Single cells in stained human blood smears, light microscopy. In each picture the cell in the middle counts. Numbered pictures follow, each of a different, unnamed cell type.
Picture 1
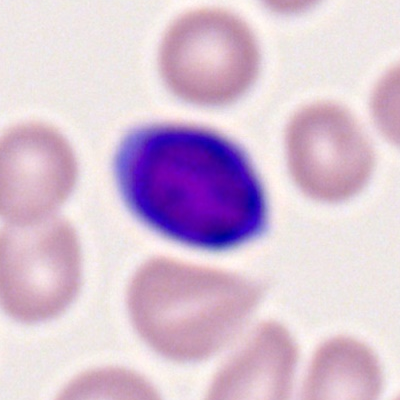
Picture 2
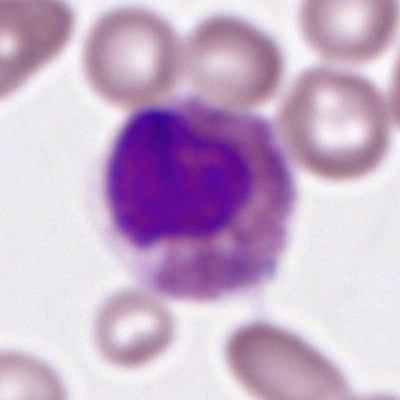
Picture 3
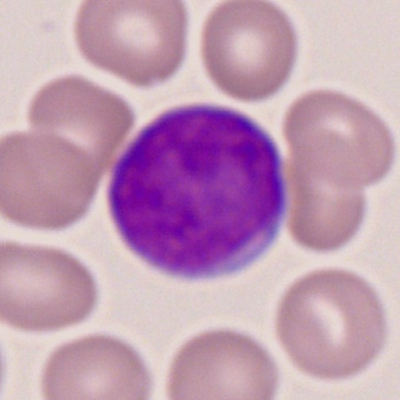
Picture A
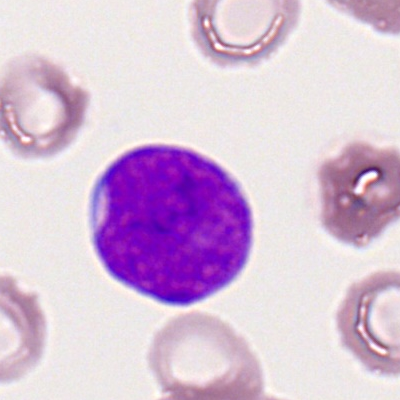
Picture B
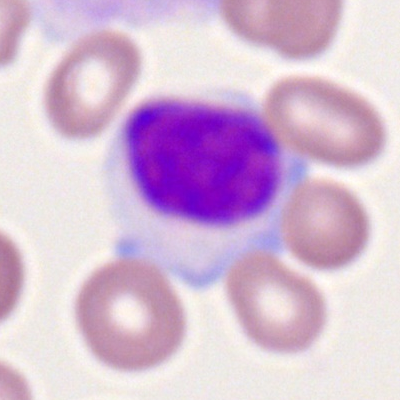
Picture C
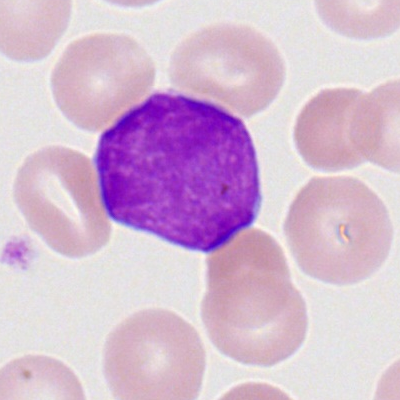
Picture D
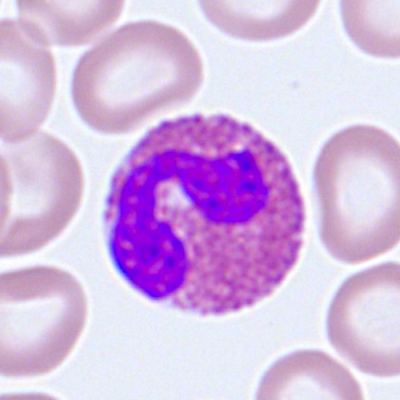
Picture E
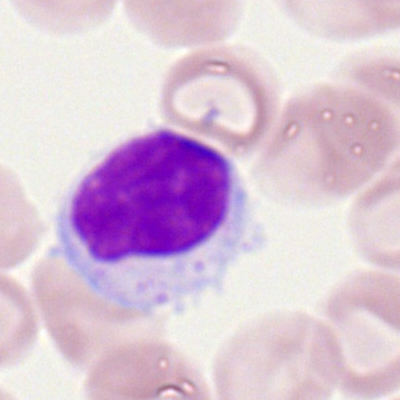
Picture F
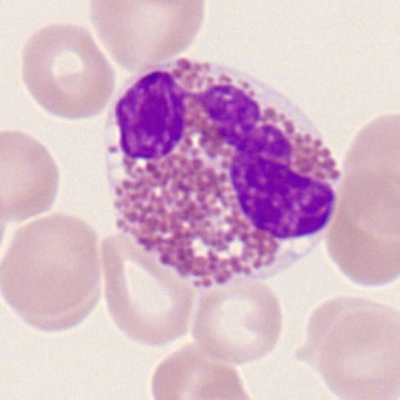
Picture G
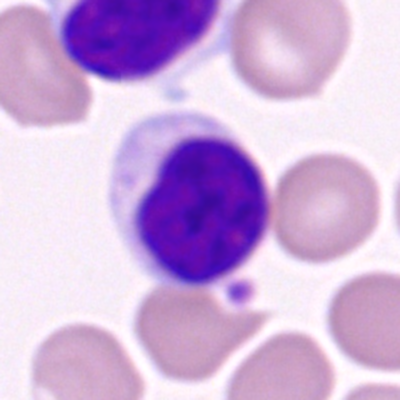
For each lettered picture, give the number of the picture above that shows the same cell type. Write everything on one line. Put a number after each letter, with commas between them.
A 3, B 1, C 3, D 2, E 1, F 2, G 1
